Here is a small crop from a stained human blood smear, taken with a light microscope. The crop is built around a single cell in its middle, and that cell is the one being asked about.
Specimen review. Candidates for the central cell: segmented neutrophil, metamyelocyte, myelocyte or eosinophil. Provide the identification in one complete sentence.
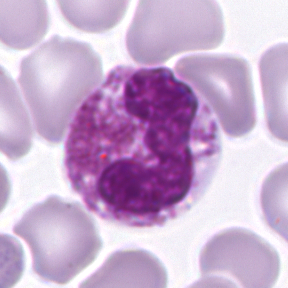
At the crop's centre, the cell is an eosinophil.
